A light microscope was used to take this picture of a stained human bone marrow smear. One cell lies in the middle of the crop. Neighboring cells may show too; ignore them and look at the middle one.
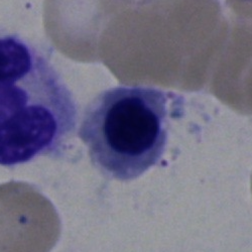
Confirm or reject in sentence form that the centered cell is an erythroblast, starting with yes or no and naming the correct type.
Yes, the cell of interest in the centre is an erythroblast.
